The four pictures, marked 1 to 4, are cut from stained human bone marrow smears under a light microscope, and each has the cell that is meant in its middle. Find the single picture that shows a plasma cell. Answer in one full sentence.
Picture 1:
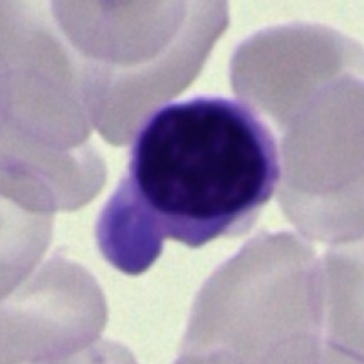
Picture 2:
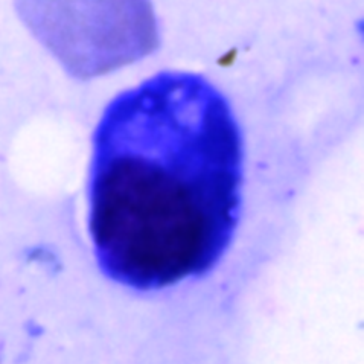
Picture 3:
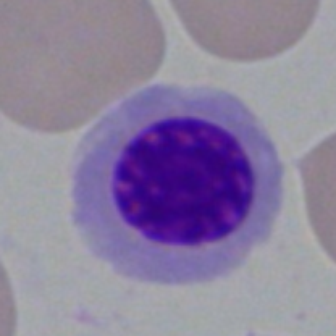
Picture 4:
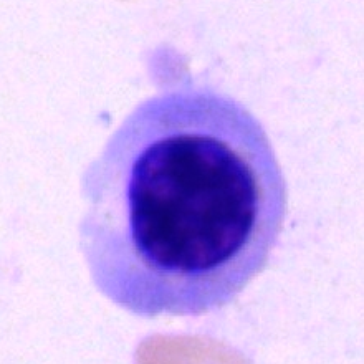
Picture 2 is the one that shows the plasma cell.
